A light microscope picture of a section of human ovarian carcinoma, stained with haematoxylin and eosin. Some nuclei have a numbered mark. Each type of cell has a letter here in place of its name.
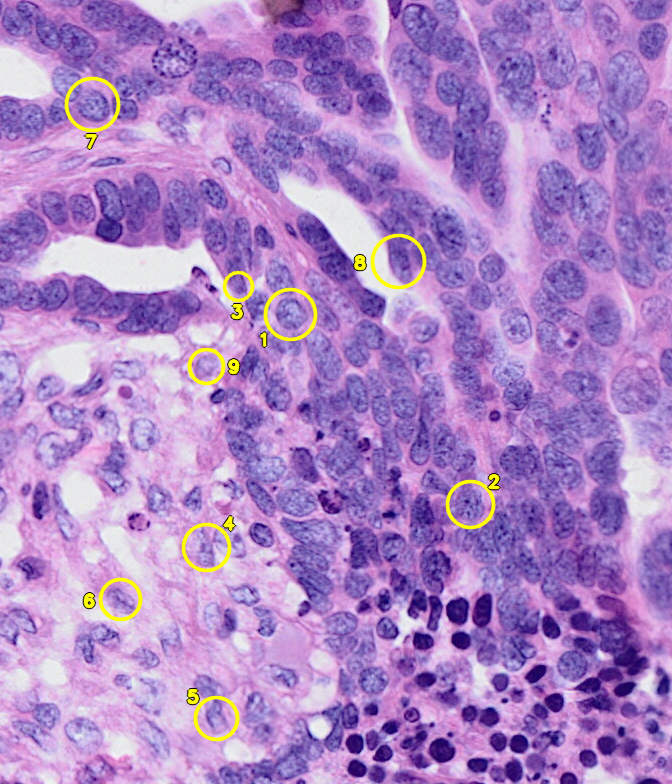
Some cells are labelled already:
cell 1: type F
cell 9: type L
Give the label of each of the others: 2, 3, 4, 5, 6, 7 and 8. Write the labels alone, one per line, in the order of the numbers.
type F
type F
type L
type L
type L
type F
type F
